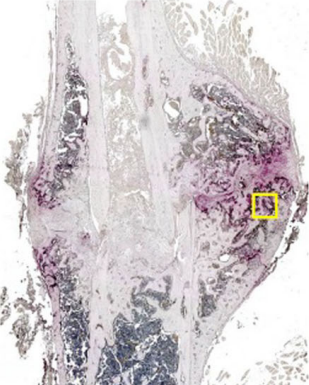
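A longitudinal section through a healing long bone shows a wide bony callus around the shaft. Pale bands of cortical bone pass through the centre. The callus consists of a meshwork of bony trabeculae enclosing marrow spaces filled with blue-grey and brownish marrow cells. Red-magenta staining lines many trabecular surfaces, particularly in the right and left outer parts of the callus. A small yellow box marks an area within the stained region on the right. Skeletal muscle bundles, pale beige, lie outside the callus along the upper and right edges.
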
